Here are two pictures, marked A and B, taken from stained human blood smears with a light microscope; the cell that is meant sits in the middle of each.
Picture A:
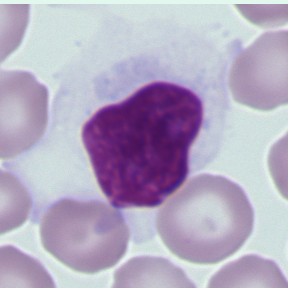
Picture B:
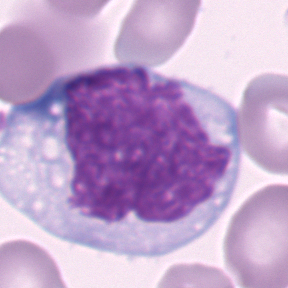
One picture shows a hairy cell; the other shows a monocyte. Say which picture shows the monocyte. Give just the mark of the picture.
B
